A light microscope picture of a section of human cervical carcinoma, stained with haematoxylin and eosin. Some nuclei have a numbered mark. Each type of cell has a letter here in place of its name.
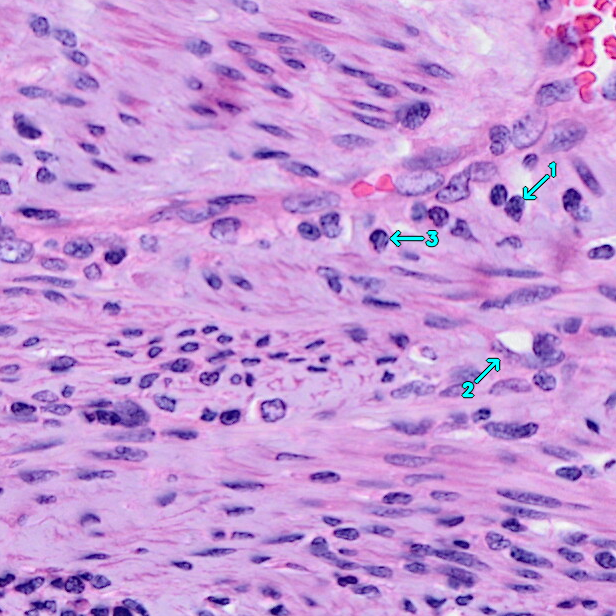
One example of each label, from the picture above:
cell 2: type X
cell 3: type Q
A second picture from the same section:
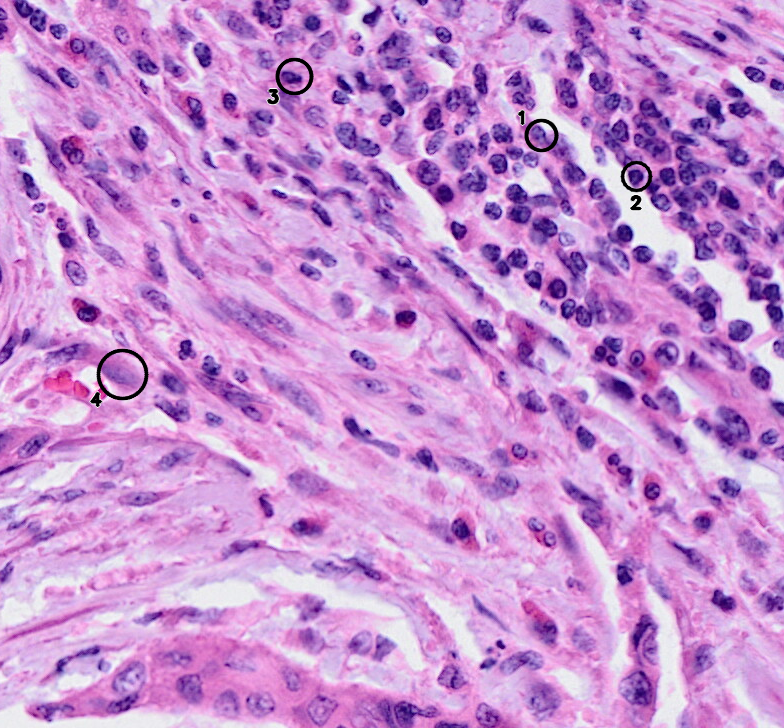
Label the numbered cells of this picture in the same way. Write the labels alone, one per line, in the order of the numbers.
type Q
type Q
type Q
type X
